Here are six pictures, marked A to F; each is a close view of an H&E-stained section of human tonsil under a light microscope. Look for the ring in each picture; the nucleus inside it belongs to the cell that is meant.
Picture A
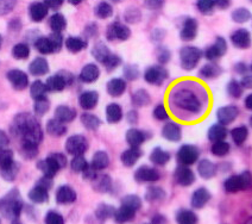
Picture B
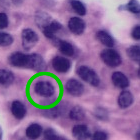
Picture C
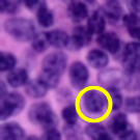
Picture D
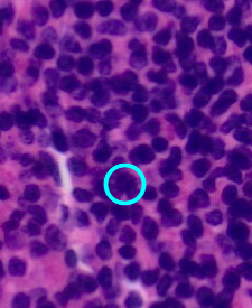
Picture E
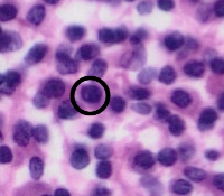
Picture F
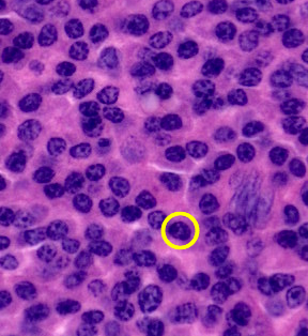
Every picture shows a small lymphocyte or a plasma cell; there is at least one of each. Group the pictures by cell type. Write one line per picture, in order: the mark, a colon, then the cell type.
A: plasma cell
B: plasma cell
C: small lymphocyte
D: small lymphocyte
E: plasma cell
F: plasma cell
